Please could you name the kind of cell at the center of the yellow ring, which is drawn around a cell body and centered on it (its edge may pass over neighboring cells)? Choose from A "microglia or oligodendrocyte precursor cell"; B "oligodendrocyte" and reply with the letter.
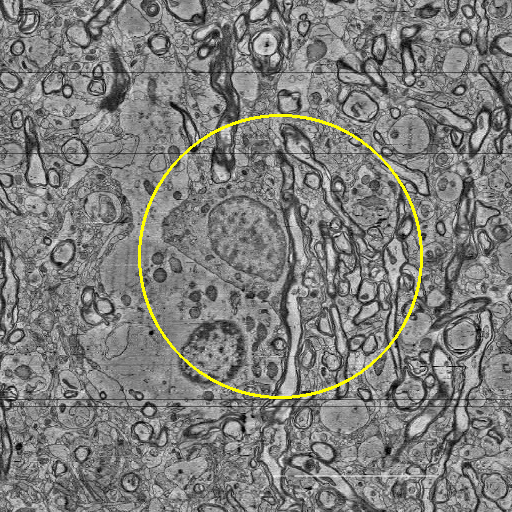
B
